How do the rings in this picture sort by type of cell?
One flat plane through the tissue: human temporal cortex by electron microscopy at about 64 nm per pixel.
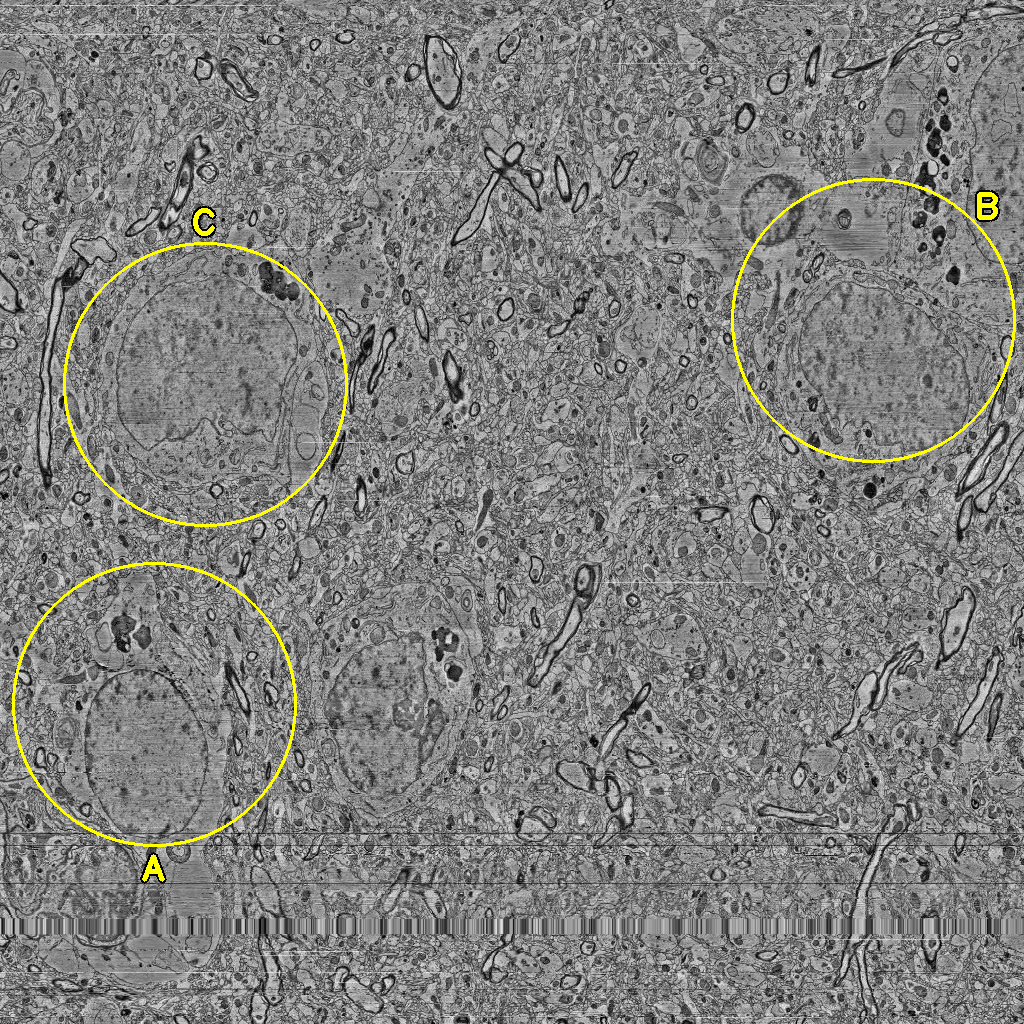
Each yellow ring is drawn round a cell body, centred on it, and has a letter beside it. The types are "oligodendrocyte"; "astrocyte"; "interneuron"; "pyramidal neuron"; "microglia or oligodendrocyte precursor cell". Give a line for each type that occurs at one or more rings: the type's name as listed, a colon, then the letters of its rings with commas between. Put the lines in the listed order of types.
astrocyte: A
interneuron: B, C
